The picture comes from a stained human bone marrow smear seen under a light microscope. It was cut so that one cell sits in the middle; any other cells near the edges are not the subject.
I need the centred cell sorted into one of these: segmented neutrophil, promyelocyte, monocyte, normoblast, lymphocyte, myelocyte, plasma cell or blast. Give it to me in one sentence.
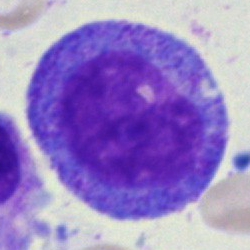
Classified as a promyelocyte is the cell in the middle of this crop.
